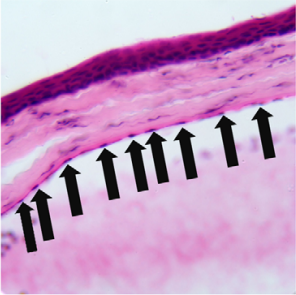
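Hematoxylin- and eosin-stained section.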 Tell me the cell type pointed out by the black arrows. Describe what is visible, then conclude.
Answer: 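The arrows point to a single row of flat nuclei lining the inner surface of a thick pink stromal layer. A stratified epithelium with dark nuclei covers the opposite surface. The answer: corneal endothelial cells.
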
